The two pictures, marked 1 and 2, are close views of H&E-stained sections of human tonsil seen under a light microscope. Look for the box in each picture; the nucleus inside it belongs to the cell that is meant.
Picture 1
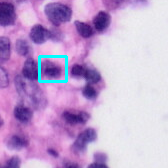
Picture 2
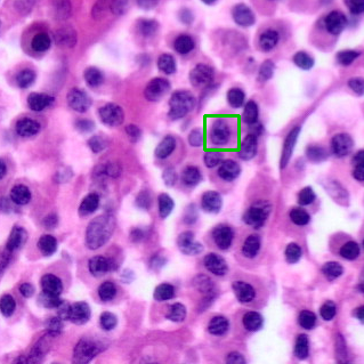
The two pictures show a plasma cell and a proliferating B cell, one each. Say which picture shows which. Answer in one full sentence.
In picture 1 the cell is a proliferating B cell; in picture 2, a plasma cell.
